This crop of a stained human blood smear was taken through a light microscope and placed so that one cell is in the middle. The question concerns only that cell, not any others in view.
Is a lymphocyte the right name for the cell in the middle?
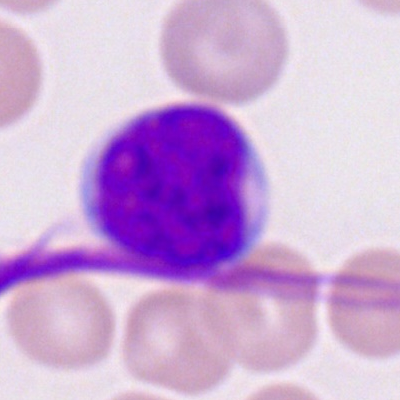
no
